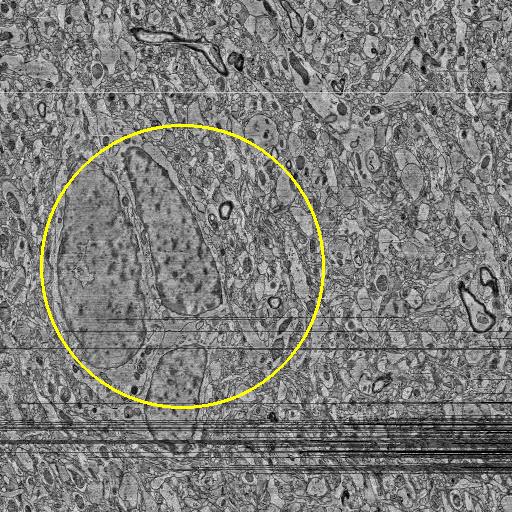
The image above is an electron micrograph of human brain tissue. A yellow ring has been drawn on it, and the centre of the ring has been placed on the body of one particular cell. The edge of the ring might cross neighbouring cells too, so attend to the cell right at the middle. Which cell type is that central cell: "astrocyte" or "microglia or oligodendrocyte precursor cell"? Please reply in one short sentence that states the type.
The central cell in the ring is a microglial cell or oligodendrocyte precursor cell.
